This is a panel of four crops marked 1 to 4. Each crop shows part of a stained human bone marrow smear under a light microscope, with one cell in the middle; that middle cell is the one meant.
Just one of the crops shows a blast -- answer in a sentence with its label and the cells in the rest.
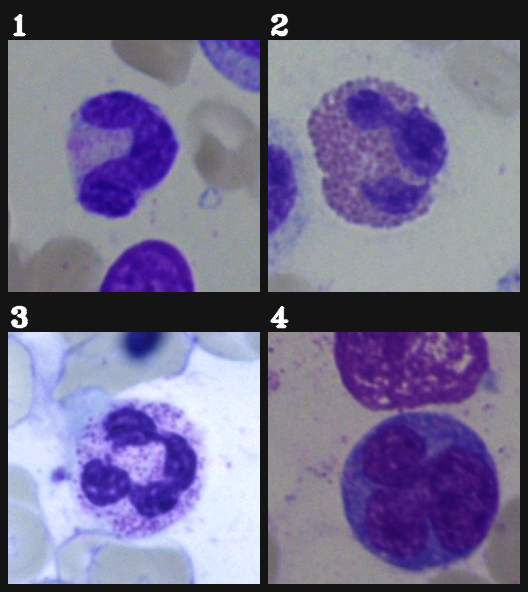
Crop 4 is where a blast is shown, whereas crop 1 is a band neutrophil, crop 2 is an eosinophil and crop 3 is a segmented neutrophil.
